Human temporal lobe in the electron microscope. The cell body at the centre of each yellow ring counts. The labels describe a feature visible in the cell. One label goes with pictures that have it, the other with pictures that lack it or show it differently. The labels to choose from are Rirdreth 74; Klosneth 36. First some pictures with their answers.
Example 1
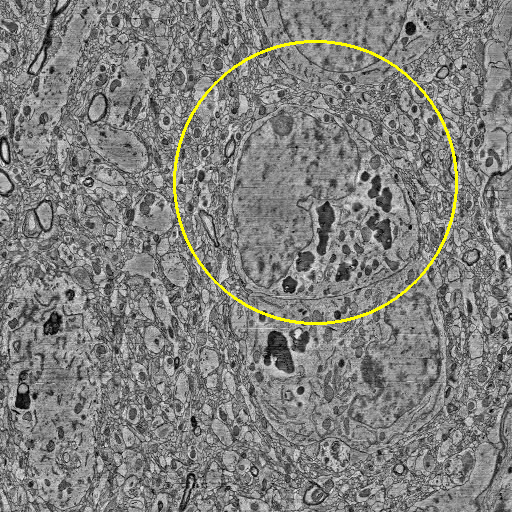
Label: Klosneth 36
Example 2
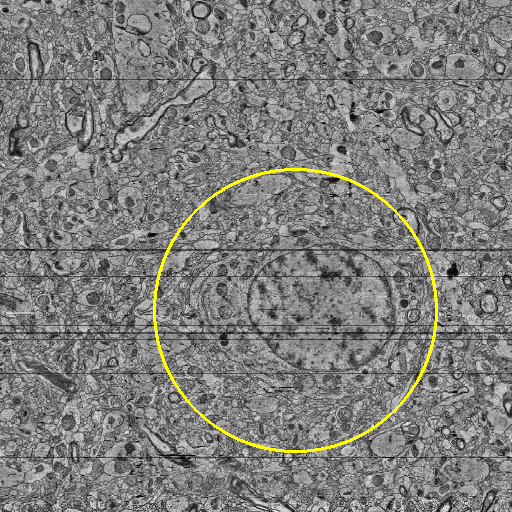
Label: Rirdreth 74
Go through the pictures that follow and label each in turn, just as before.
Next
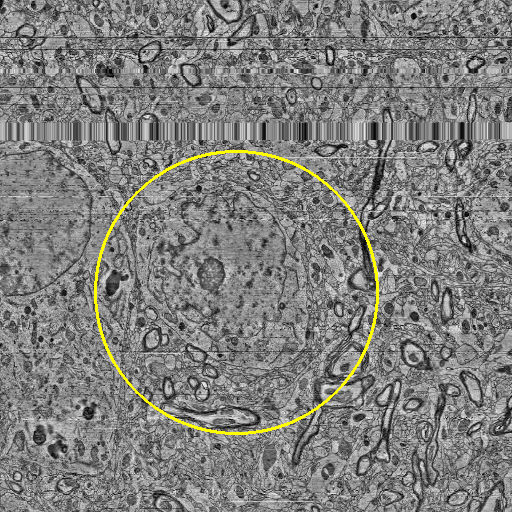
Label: Klosneth 36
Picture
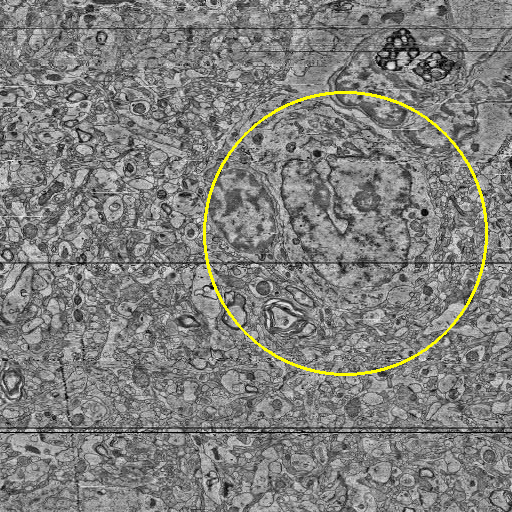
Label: Klosneth 36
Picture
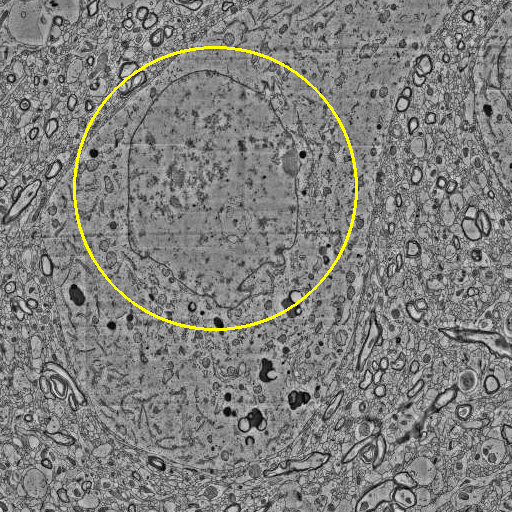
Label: Klosneth 36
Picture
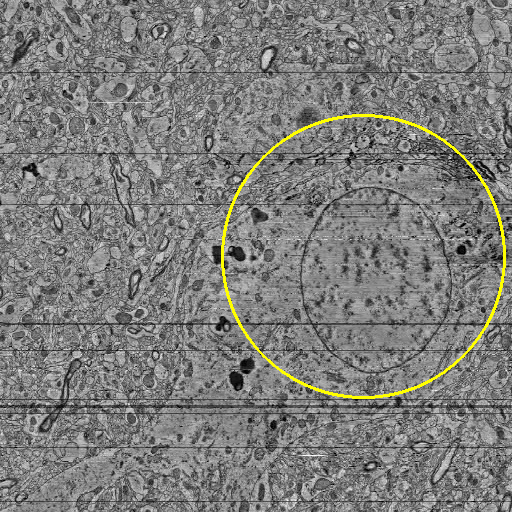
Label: Rirdreth 74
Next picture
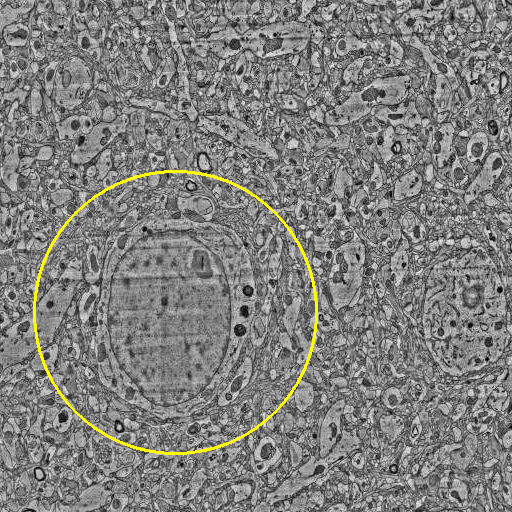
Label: Rirdreth 74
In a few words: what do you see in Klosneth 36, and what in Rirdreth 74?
In Klosneth 36: deeply folded or indented nuclear envelopes. In Rirdreth 74: smooth nuclear envelopes without deep folds.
